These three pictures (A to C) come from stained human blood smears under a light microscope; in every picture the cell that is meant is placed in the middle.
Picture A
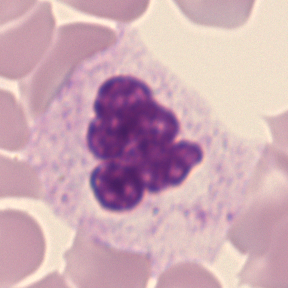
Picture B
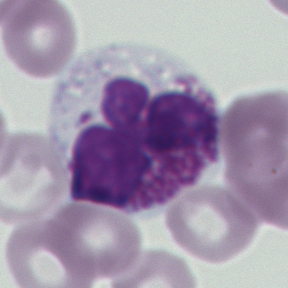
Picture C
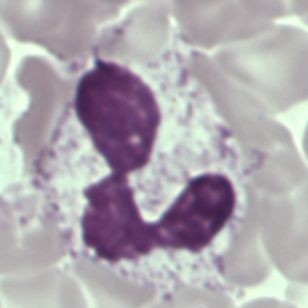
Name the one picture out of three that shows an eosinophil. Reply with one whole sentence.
The cell in picture B is the eosinophil.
